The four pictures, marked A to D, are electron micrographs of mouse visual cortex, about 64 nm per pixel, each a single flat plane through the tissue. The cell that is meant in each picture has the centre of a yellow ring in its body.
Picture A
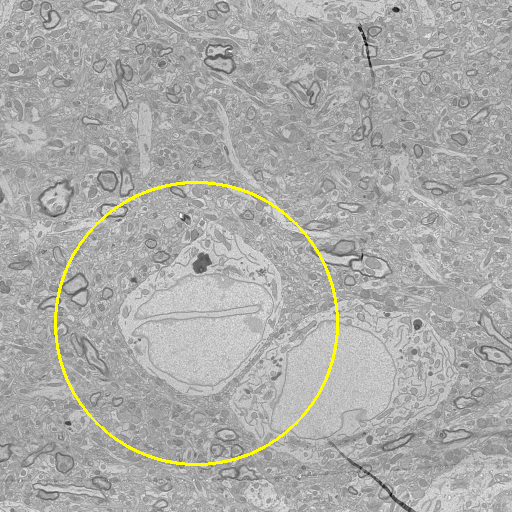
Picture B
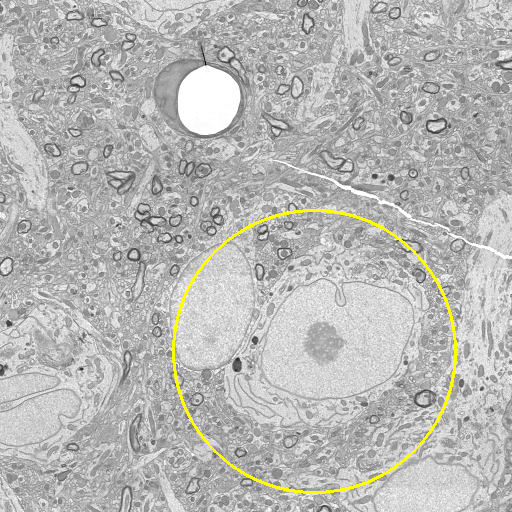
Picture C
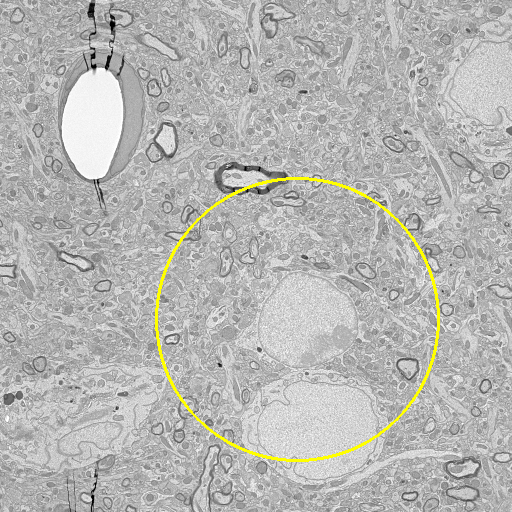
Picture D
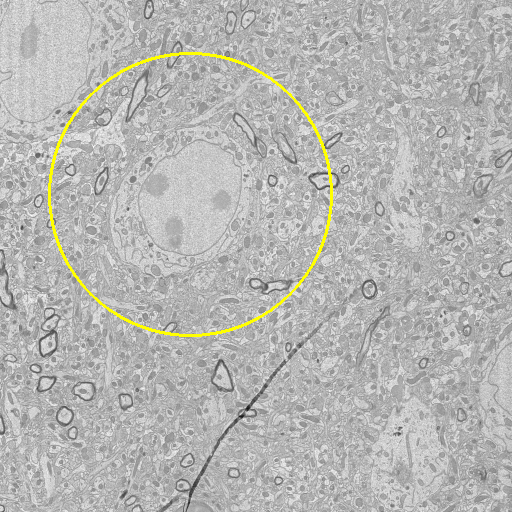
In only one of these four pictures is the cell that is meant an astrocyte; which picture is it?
The astrocyte is the one in picture C.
